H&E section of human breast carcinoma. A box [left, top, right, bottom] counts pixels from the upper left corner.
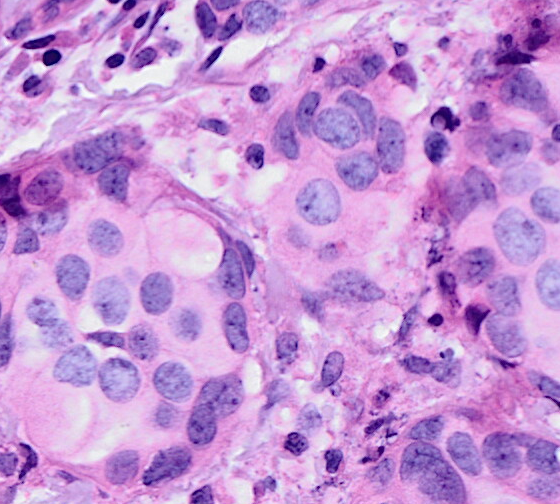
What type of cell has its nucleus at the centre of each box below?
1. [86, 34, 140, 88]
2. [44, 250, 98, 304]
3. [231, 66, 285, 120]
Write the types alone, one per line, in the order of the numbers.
lymphocyte
carcinoma cell
lymphocyte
